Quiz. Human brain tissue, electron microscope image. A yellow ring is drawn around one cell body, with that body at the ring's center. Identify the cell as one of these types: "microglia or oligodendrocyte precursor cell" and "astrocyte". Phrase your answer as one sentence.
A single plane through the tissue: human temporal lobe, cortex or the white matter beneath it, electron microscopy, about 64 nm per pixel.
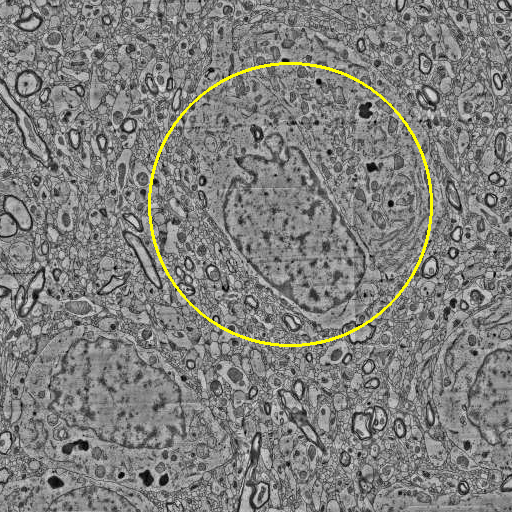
At the center of the ring sits a microglial cell or oligodendrocyte precursor cell.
